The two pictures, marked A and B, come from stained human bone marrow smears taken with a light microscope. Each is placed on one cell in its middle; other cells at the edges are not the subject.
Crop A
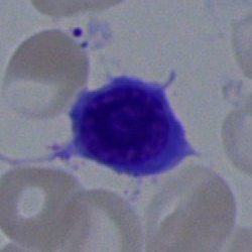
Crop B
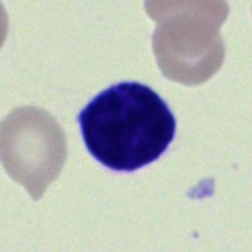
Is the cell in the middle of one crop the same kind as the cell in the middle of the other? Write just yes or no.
yes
